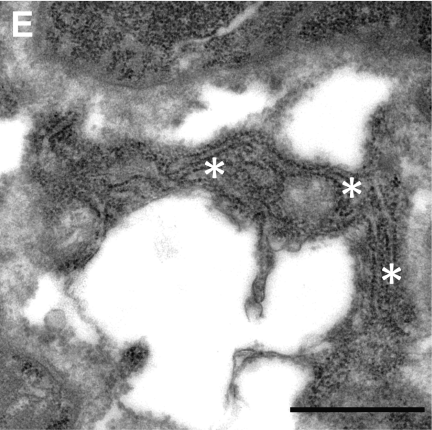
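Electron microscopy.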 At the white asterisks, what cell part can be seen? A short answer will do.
Endoplasmic reticulum.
